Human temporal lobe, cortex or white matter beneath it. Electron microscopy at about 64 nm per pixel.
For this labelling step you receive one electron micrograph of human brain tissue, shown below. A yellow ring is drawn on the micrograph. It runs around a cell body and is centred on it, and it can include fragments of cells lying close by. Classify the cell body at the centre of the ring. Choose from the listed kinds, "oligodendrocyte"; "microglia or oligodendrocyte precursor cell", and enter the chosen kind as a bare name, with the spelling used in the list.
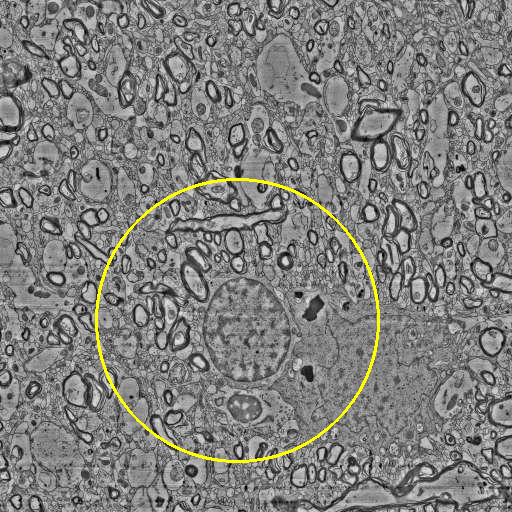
oligodendrocyte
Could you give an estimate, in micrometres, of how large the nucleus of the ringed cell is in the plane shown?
Approximately 7 micrometres long and 6 micrometres wide, in this plane.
